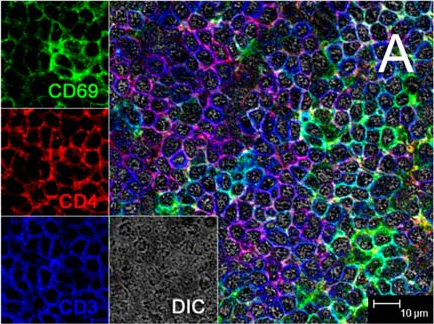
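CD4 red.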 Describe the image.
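The rings vary in colour from blue and purple to cyan and green, with some whitish where all three labels overlap. Green-rich cells tend to cluster toward the right side of the field, while purple cells dominate elsewhere. The cells are uniform in size and show no obvious stroma between them.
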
